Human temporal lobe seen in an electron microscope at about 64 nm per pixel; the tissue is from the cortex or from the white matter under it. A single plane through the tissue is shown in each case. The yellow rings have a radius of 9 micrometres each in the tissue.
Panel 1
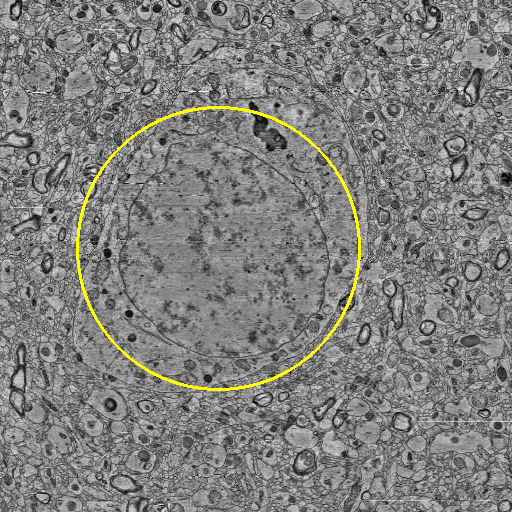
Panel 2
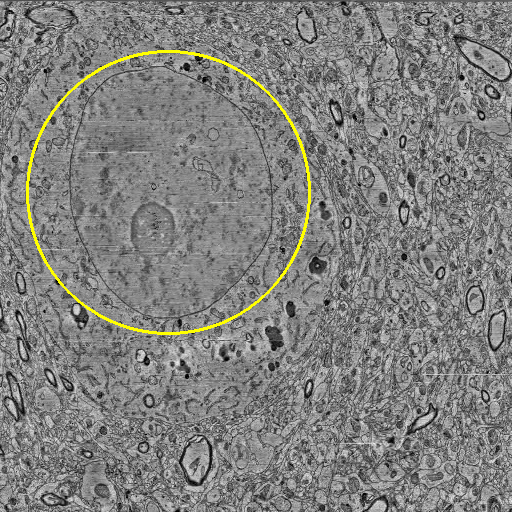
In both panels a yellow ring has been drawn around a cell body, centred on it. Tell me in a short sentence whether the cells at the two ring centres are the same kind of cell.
Yes, they are the same kind of cell.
